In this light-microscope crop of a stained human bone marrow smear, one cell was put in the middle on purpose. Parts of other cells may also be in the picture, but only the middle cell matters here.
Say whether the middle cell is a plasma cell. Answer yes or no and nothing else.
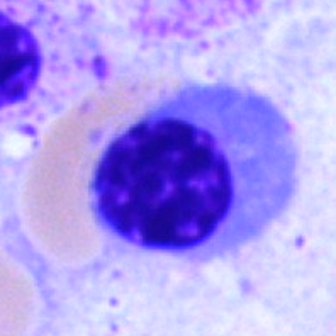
no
